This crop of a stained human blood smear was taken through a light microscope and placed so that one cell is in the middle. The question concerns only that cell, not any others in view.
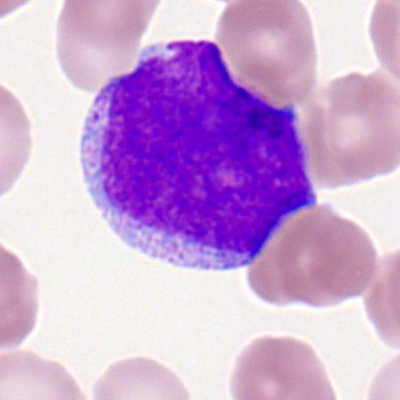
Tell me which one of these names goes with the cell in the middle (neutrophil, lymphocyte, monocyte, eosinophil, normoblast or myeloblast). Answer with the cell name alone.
myeloblast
